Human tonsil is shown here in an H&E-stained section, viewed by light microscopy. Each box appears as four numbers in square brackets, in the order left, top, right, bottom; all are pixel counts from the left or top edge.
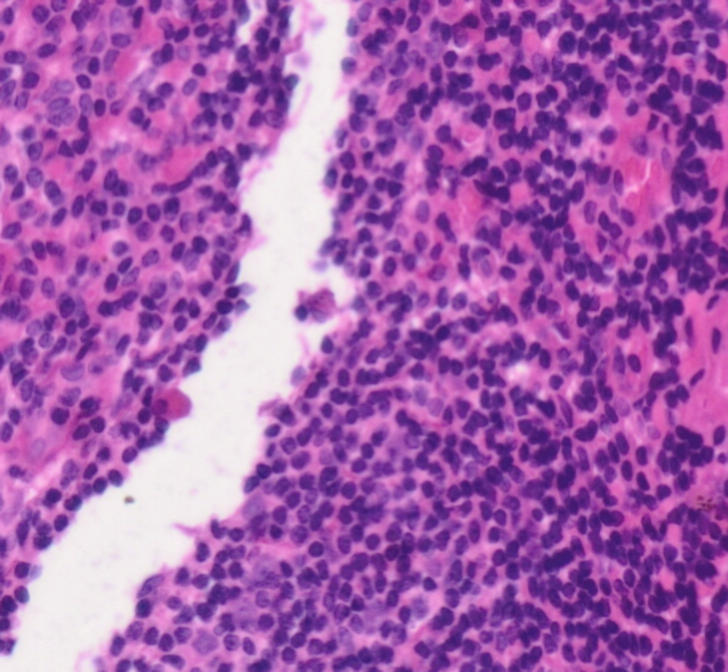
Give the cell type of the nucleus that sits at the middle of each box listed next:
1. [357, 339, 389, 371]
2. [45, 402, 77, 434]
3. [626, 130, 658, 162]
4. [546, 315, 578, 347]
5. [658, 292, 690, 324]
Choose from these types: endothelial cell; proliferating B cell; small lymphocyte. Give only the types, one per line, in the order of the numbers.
small lymphocyte
endothelial cell
endothelial cell
endothelial cell
small lymphocyte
